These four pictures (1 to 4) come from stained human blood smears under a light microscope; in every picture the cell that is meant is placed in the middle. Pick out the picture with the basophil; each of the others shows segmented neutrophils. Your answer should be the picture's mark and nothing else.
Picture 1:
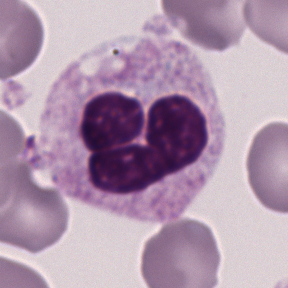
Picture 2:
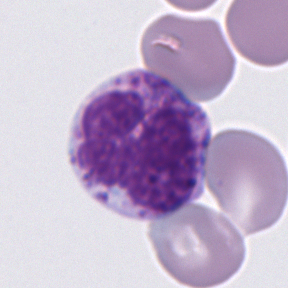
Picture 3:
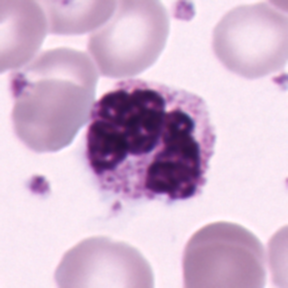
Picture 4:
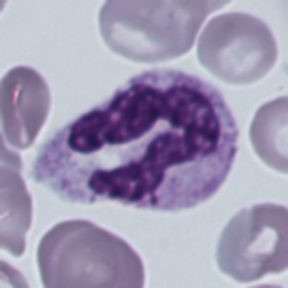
2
